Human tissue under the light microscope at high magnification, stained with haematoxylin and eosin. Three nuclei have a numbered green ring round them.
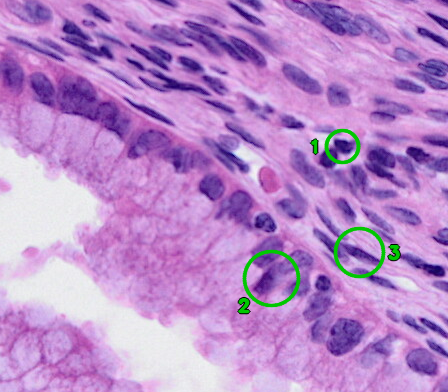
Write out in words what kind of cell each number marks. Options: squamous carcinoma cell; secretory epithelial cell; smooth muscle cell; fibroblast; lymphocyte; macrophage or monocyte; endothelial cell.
Cell 1 is a lymphocyte. Cell 2 is a secretory epithelial cell. Cell 3 is a fibroblast.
